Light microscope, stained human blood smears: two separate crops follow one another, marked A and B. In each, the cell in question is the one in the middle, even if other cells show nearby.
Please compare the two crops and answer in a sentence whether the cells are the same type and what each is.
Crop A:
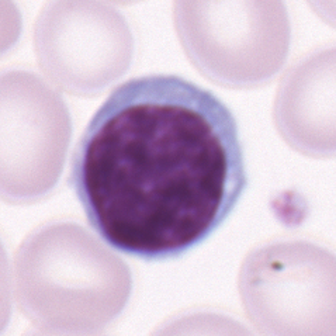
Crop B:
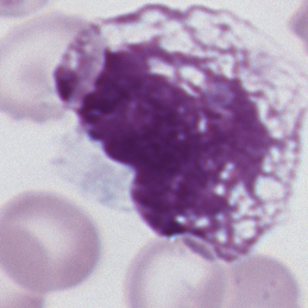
No, the cell centred in crop A is a typical lymphocyte, and that centred in crop B is a smudge cell.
